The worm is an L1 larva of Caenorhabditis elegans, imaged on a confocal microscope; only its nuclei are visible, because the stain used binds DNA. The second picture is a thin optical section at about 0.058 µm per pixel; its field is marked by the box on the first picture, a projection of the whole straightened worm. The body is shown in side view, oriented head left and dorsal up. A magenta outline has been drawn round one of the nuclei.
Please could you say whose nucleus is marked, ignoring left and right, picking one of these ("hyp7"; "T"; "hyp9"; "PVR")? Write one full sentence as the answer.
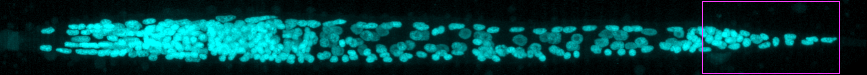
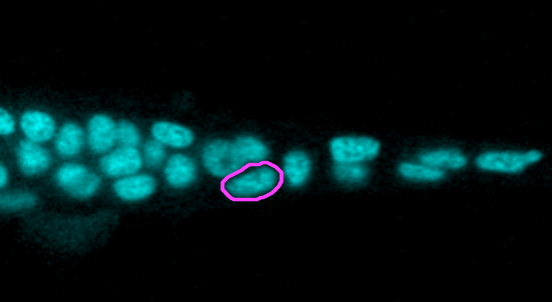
The marked nucleus belongs to hyp7, a hypodermal cell (hyp).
